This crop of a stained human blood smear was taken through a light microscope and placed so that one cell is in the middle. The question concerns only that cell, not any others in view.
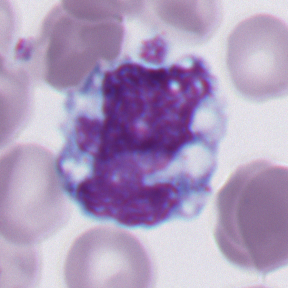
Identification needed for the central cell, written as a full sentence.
Whatever else lies nearby, the middle cell is a monocyte.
